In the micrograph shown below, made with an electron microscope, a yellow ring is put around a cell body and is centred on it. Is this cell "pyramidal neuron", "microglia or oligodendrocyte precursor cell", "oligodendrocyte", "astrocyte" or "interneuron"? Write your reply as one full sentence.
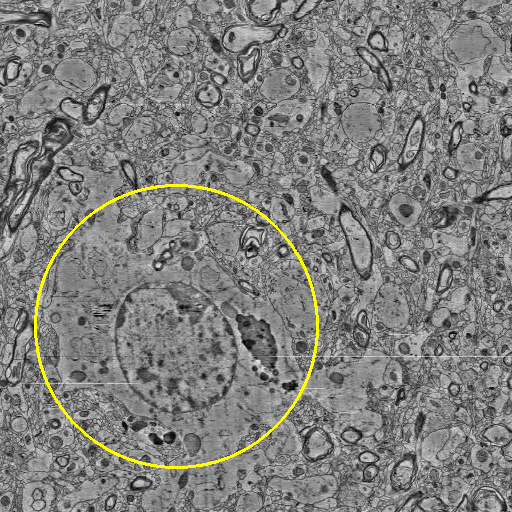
In the micrograph, an astrocyte is the cell at the centre of the yellow ring.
